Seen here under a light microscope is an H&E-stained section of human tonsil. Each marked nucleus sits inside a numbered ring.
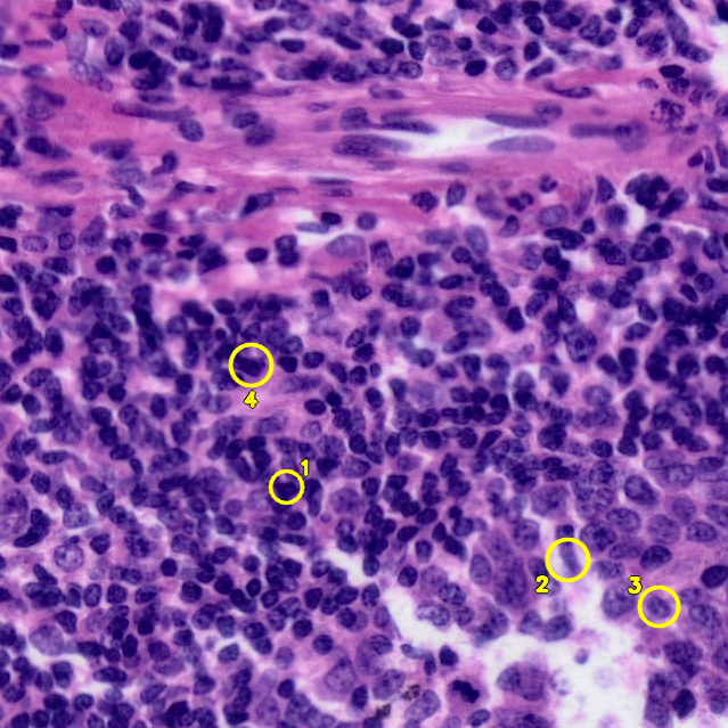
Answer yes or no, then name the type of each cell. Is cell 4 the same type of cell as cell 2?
No, cell 4 is recognized as a small lymphocyte, and cell 2 as a proliferating B cell.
